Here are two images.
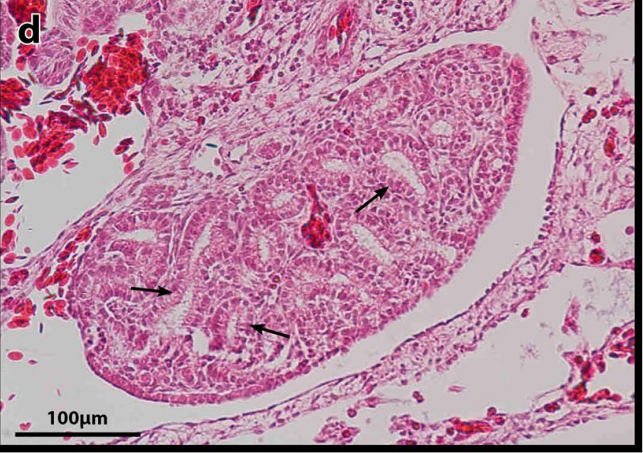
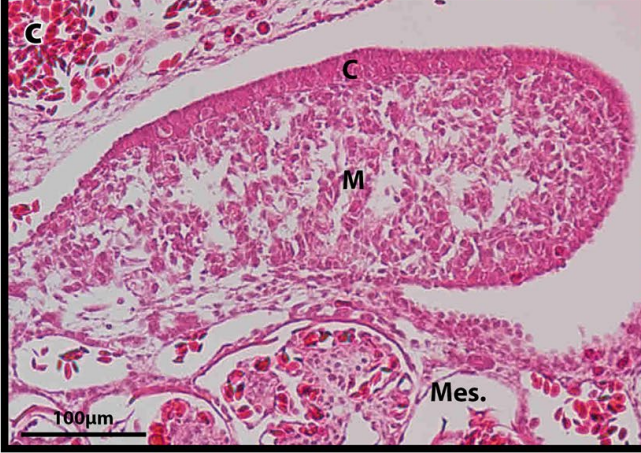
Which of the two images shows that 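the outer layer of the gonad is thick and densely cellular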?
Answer: the second image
